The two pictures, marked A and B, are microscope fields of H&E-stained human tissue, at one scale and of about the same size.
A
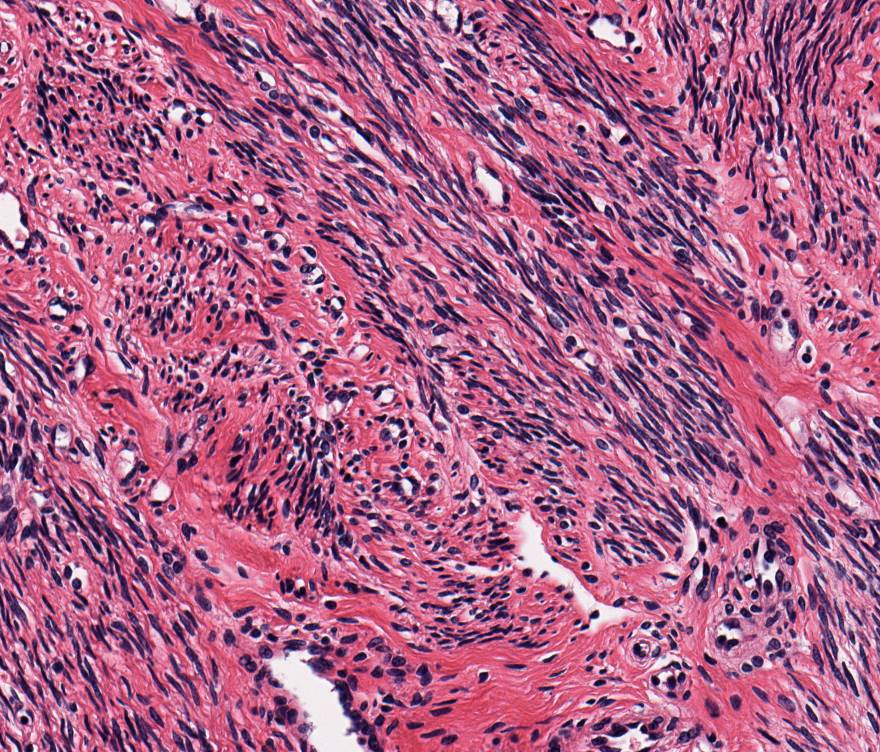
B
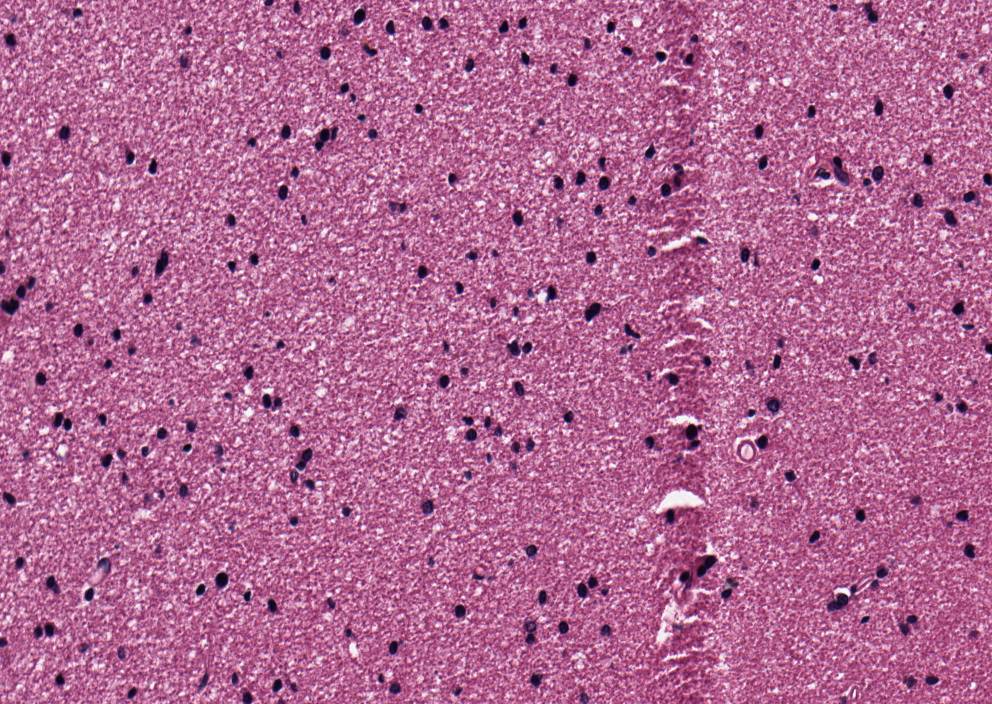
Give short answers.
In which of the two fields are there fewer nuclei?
B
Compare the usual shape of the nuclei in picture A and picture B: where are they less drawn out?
B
